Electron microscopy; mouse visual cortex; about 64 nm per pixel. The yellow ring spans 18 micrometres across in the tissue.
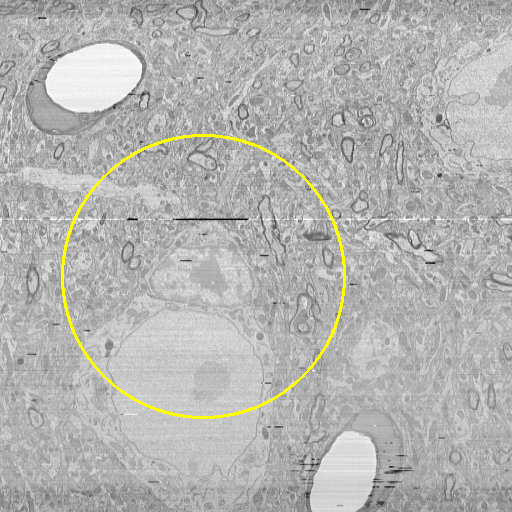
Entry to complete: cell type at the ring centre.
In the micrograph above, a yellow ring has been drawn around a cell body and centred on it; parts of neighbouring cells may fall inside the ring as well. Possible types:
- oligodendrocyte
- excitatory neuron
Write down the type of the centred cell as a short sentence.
The ring is centred on an oligodendrocyte.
